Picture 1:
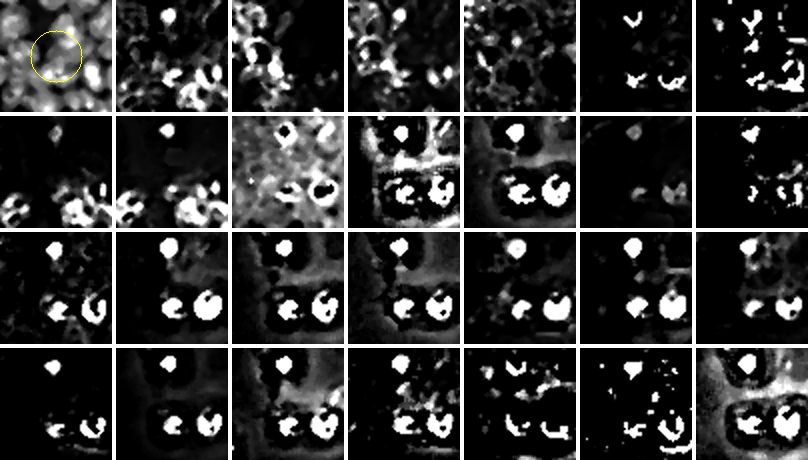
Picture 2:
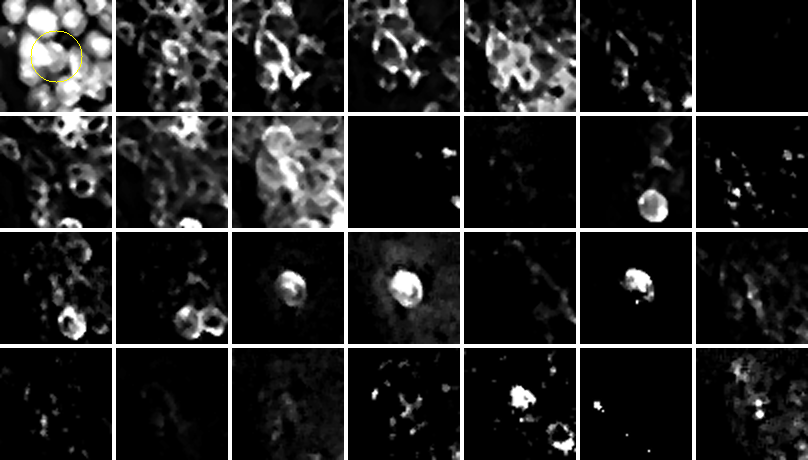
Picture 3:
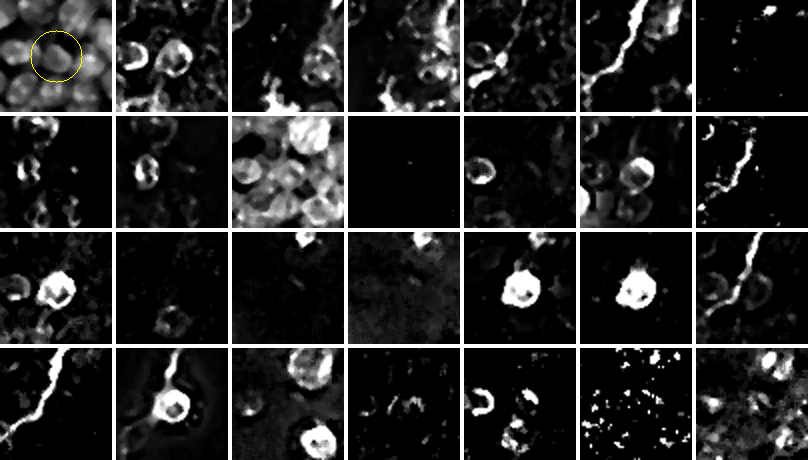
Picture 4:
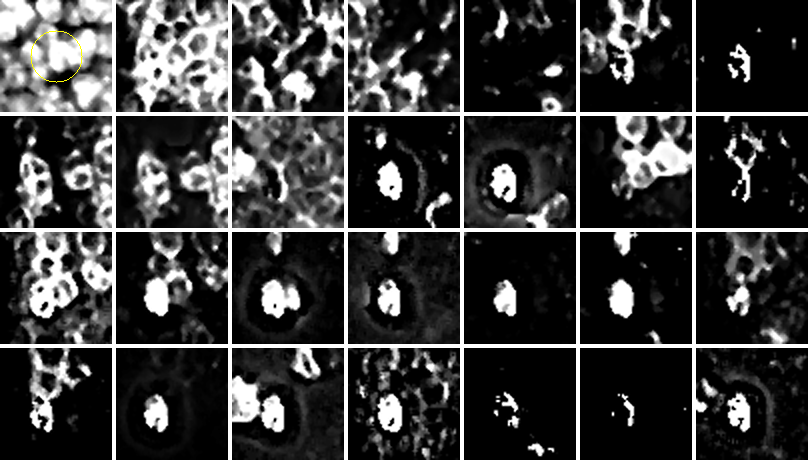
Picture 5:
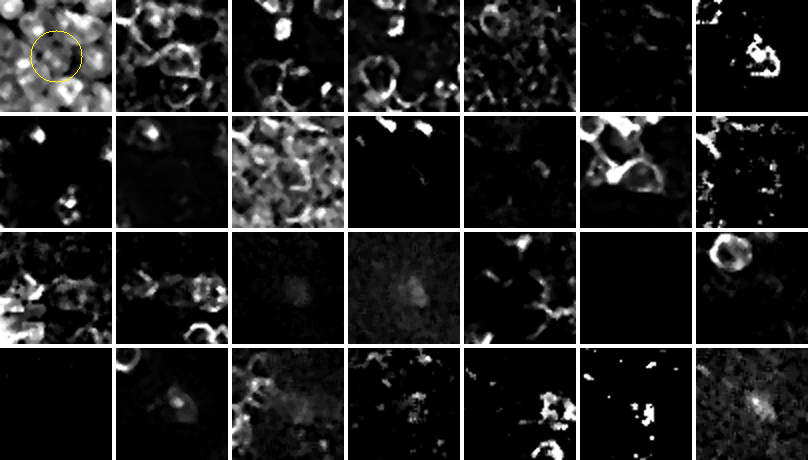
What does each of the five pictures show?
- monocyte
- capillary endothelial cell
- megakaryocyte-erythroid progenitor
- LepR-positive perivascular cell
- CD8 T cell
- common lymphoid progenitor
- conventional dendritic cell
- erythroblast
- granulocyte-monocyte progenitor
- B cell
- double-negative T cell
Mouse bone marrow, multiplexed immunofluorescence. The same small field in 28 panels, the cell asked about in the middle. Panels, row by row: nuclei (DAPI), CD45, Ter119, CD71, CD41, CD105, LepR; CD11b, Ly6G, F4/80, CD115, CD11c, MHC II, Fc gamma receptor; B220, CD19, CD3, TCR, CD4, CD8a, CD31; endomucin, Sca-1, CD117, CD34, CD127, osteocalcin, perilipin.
Picture 1: megakaryocyte-erythroid progenitor
Picture 2: CD8 T cell
Picture 3: capillary endothelial cell
Picture 4: B cell
Picture 5: LepR-positive perivascular cell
